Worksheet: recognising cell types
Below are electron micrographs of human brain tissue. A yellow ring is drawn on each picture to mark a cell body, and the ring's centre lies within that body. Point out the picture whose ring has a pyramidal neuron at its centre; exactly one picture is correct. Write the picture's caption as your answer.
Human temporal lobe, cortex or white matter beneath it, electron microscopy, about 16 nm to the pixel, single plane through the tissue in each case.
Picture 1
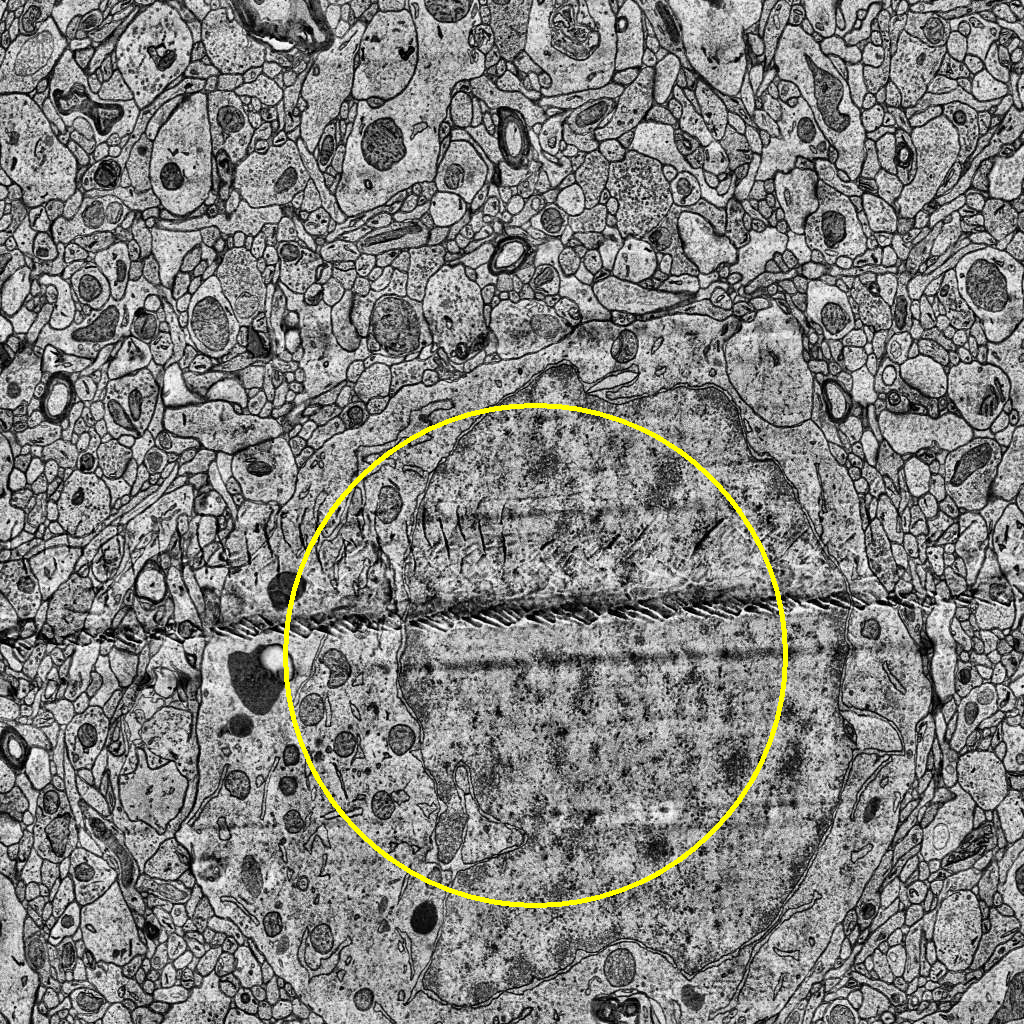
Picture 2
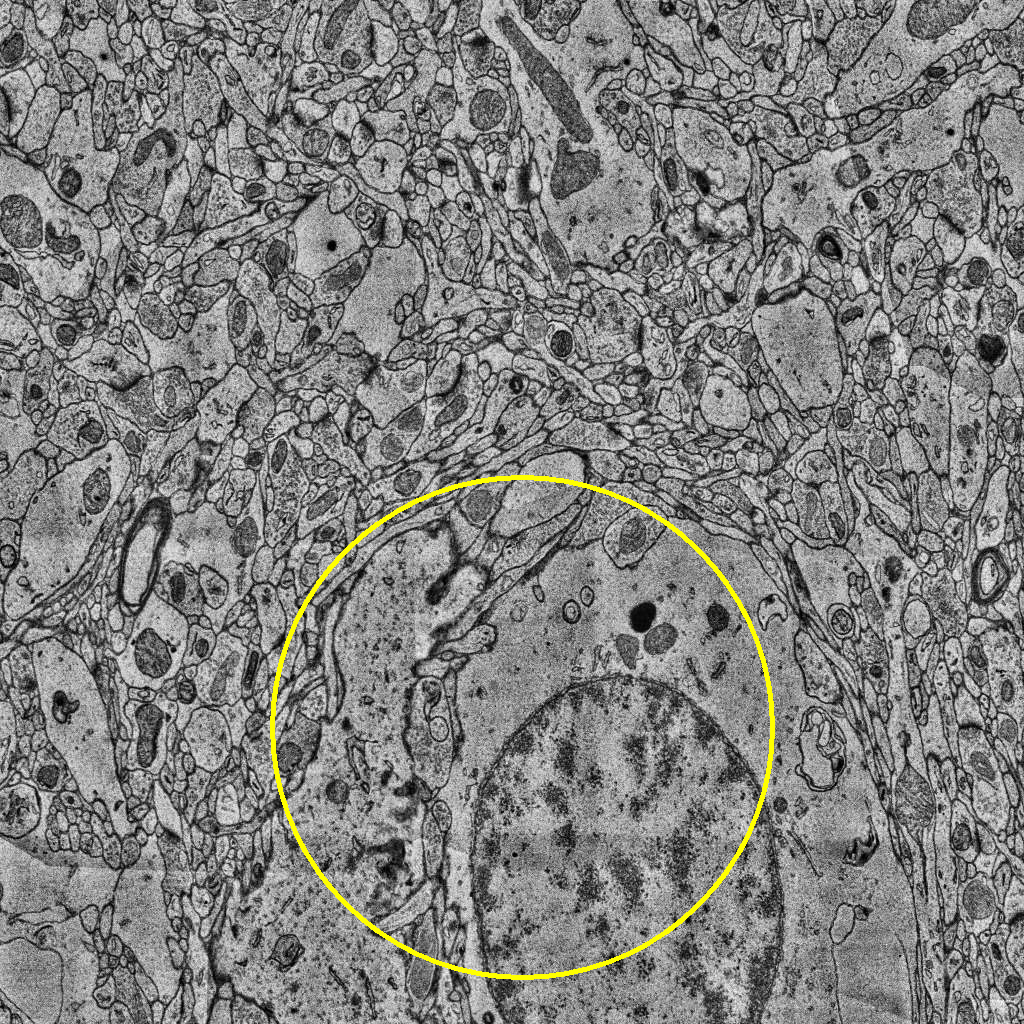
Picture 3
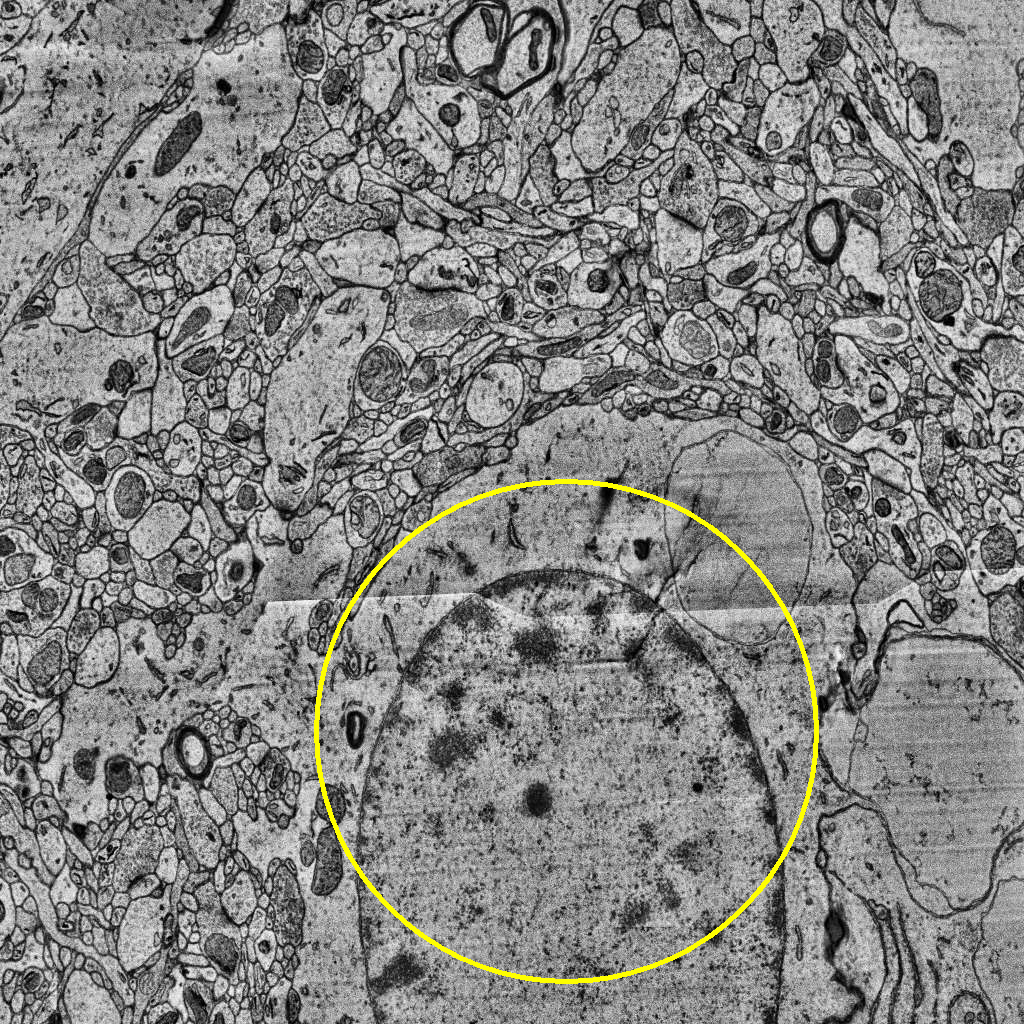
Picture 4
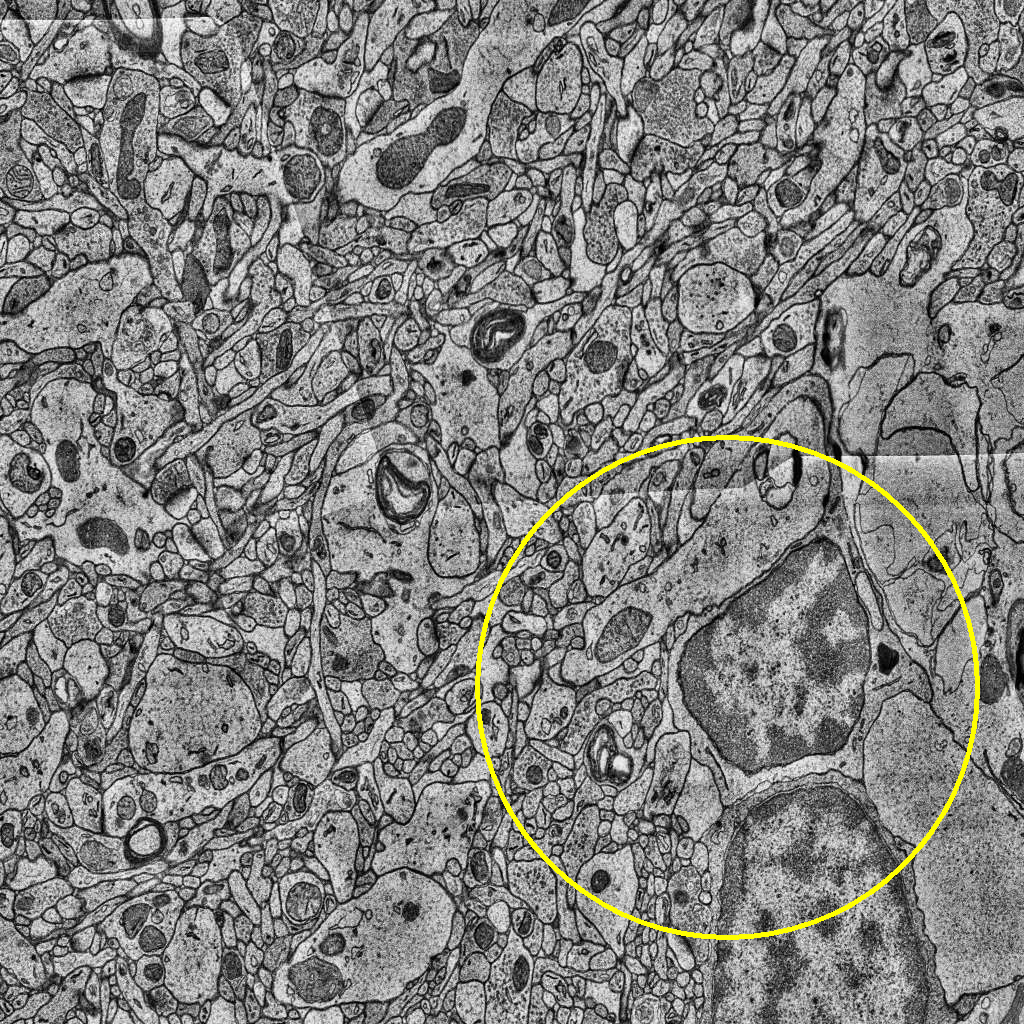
Picture 2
